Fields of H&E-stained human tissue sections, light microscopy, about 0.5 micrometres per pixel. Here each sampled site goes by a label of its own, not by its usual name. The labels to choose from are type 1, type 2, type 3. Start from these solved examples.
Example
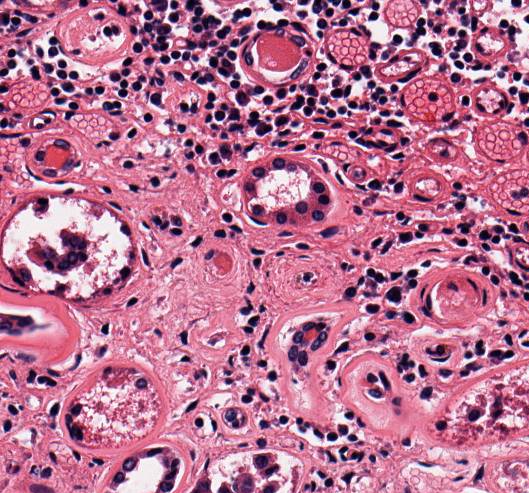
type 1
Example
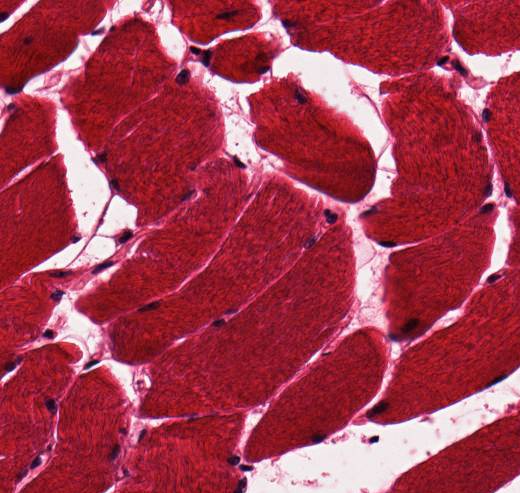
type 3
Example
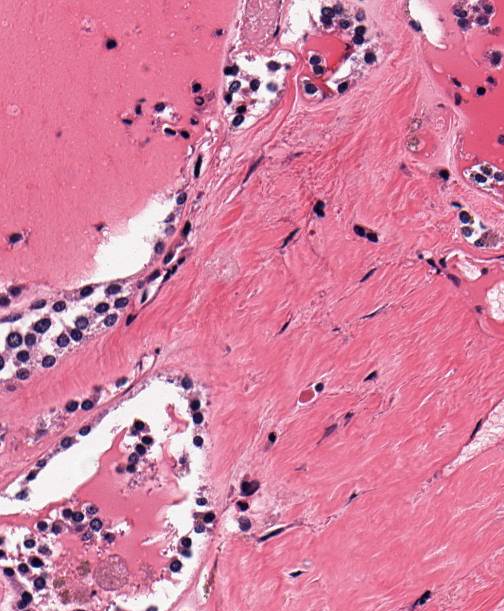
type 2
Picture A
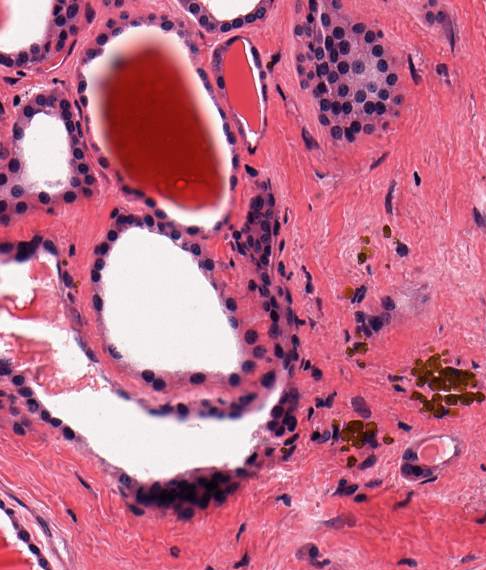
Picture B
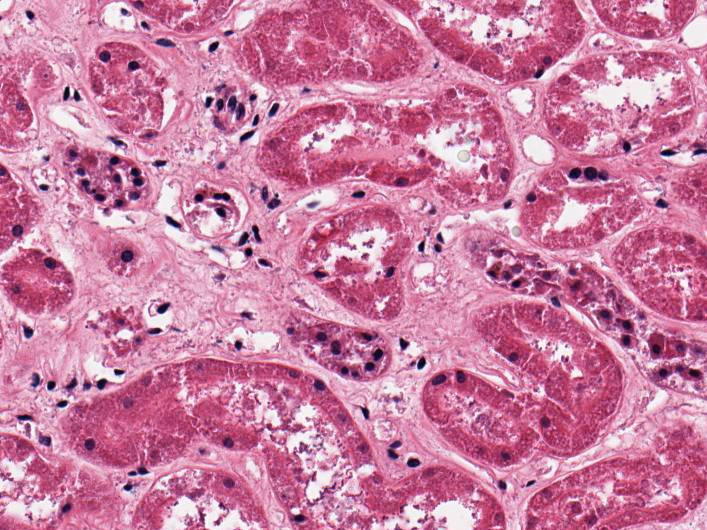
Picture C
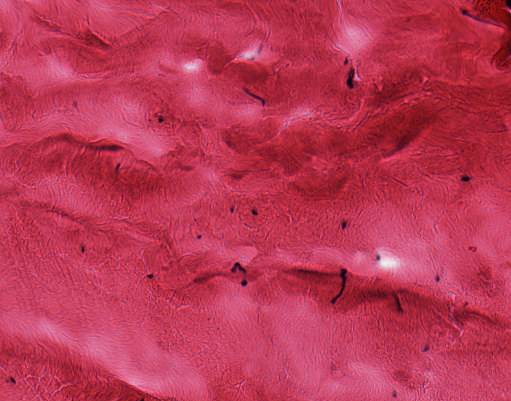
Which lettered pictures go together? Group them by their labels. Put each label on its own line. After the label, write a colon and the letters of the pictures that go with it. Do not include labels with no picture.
type 1: B
type 2: A
type 3: C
